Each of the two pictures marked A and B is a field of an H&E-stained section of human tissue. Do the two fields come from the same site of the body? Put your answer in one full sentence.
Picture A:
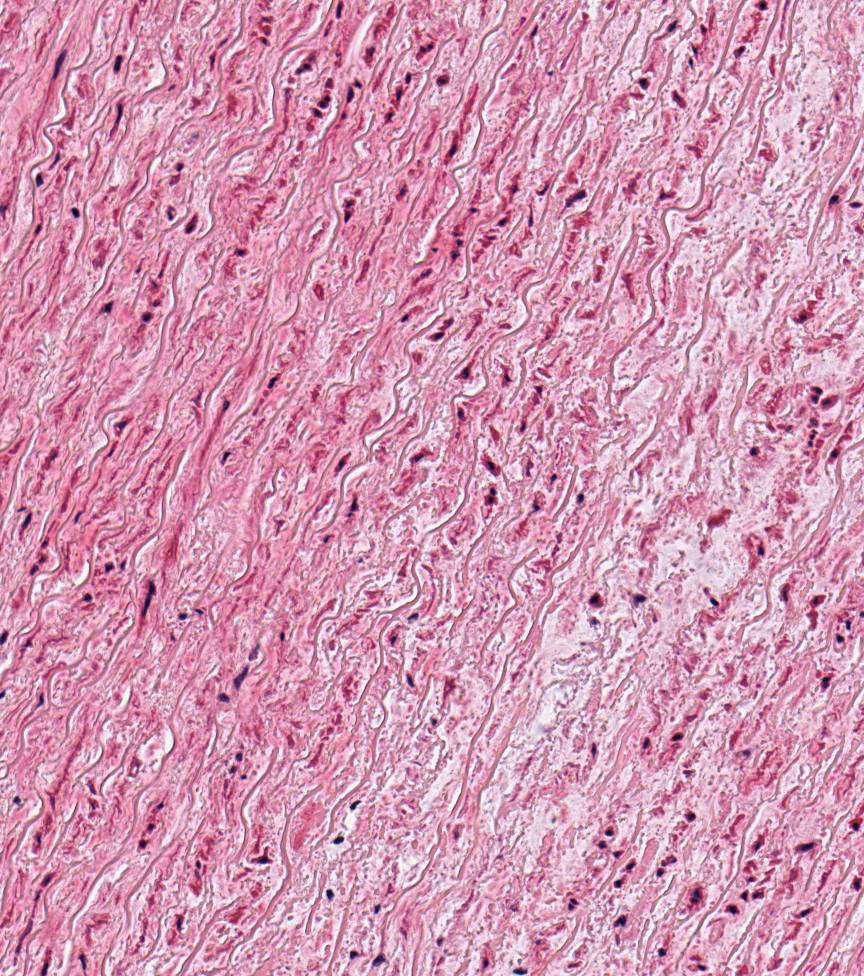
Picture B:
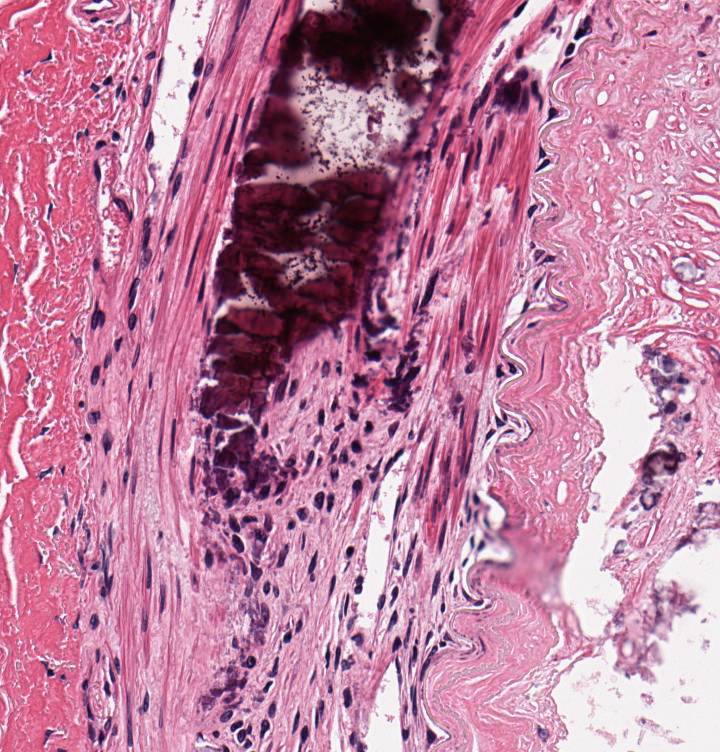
No: picture A comes from the aorta, but picture B comes from the tibial artery.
